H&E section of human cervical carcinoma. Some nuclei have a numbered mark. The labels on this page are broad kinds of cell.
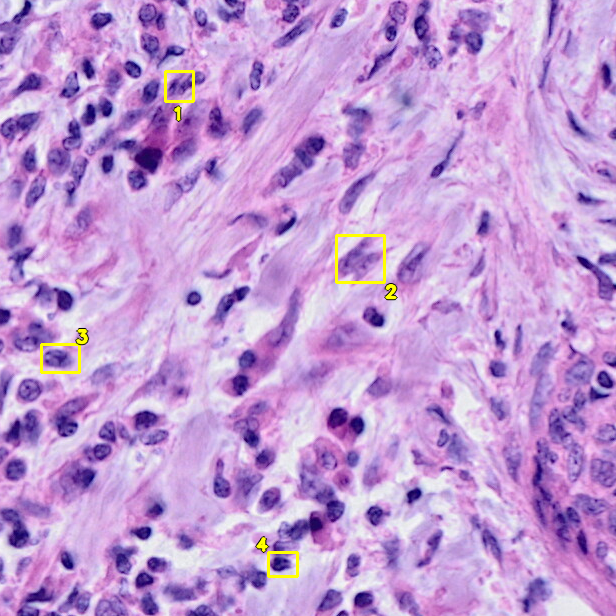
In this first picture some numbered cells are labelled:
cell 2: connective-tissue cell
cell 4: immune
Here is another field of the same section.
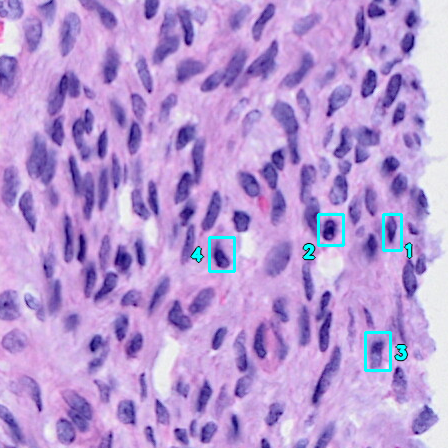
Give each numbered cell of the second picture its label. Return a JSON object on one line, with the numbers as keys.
{"1": "connective-tissue cell", "2": "immune", "3": "connective-tissue cell", "4": "connective-tissue cell"}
